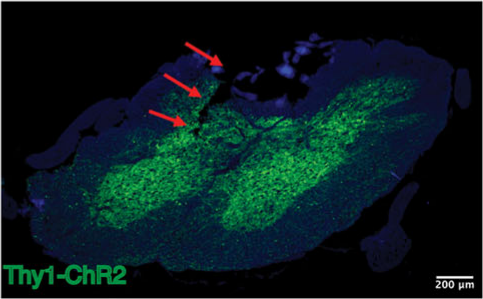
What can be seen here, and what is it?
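This is a cross section of the spinal cord, with bright green staining filling the butterfly-shaped central gray matter and a dimmer blue rim of surrounding white matter. A thin dark line runs inward from the disrupted upper surface of the section into the green-stained region, marked by red arrows. The tissue along the upper edge near the track's entry appears torn.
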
